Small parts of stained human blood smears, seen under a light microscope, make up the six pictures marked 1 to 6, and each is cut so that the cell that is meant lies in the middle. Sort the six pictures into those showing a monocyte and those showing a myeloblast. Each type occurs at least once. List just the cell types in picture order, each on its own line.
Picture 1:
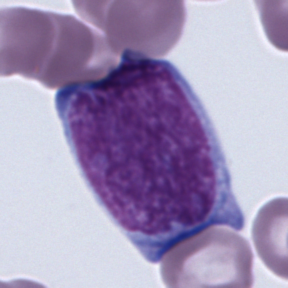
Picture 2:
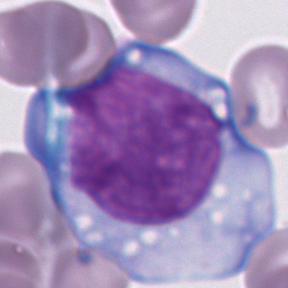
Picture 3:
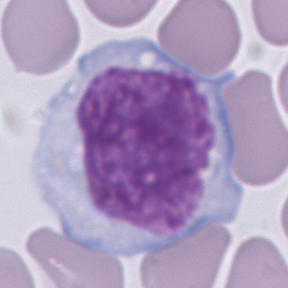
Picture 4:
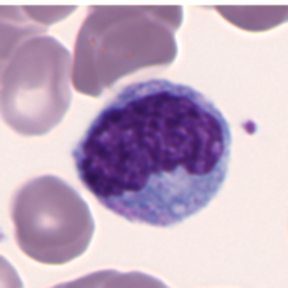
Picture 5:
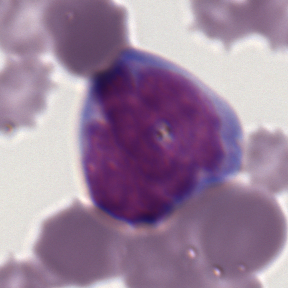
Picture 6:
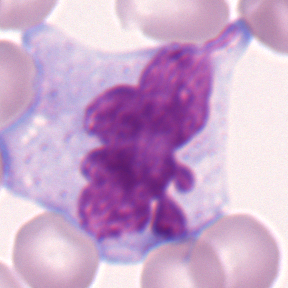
myeloblast
myeloblast
myeloblast
monocyte
myeloblast
monocyte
